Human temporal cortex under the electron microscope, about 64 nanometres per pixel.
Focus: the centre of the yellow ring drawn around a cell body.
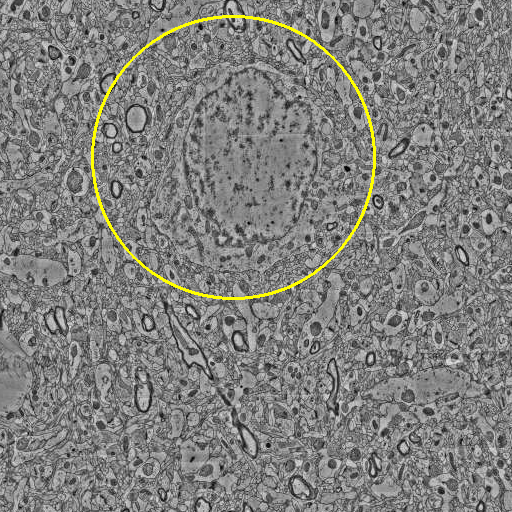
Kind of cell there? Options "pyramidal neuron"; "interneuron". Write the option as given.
interneuron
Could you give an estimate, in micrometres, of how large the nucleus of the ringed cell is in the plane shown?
In this plane the nucleus is about 11 micrometres by 9.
